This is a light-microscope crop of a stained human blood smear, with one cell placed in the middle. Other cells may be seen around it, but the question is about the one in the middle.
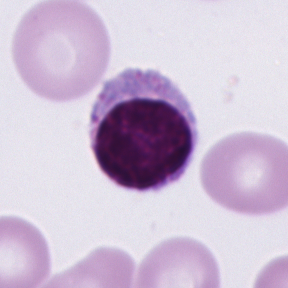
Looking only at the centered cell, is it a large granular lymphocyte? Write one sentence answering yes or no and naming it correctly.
Yes, the cell right in the middle is a large granular lymphocyte.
